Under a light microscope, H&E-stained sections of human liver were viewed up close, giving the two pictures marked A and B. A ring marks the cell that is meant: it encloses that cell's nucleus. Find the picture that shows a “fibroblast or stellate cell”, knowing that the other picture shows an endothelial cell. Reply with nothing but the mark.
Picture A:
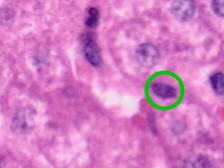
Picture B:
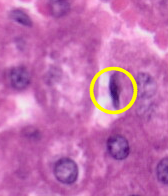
A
